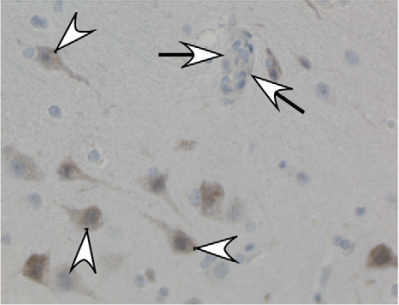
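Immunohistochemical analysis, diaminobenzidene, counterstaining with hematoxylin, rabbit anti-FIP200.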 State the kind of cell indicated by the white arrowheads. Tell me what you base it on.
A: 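Neurons. The marked cells are large with a brown-stained cell body. The marked cells have tapering processes leaving the cell body. They are much larger than the small round blue nuclei scattered around them.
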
